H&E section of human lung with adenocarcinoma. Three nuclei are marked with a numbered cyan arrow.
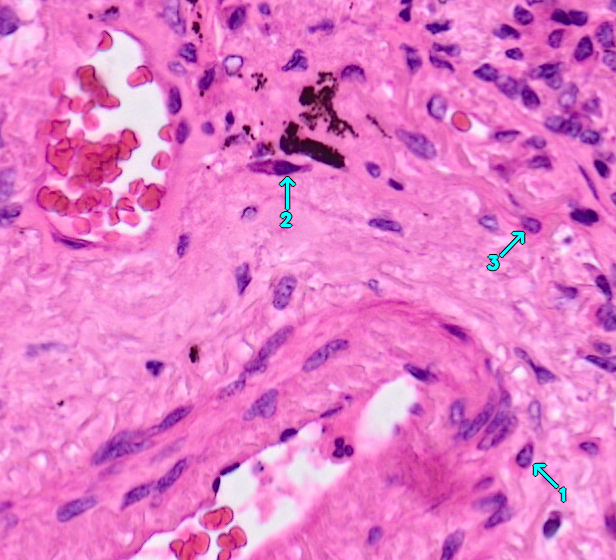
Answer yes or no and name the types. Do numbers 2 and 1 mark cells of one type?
No, cell 2 is recognized as a plasma cell, and cell 1 as a mast cell.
